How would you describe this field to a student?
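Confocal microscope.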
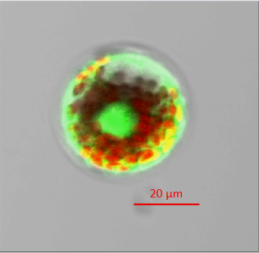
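The cell is spherical with a smooth outline against a grey background. Many small oval red bodies are packed densely within it, especially around one side and the periphery. Green fluorescence fills a rim along the cell edge and a bright rounded patch near the centre. Where green and red overlap at the periphery the colours mix to yellow-orange.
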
